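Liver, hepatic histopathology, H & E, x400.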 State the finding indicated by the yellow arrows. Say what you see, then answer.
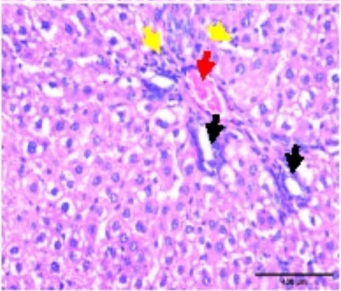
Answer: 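Inflammatory cells infiltration. Clusters of small, dark, round nuclei crowd the portal area. The dense dark-blue cells stand out from the larger pink hepatocytes.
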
